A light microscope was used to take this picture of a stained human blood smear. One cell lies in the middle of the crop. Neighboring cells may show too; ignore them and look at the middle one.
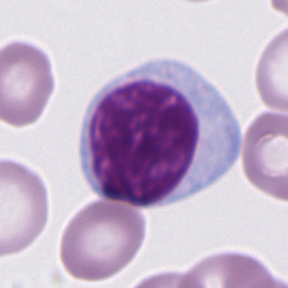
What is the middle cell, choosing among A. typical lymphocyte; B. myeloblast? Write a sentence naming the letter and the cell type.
The cell in the middle is a typical lymphocyte, so option A is correct.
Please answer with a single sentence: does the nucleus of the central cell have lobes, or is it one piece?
Round, oval or kidney-shaped, the nucleus is one compact mass.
